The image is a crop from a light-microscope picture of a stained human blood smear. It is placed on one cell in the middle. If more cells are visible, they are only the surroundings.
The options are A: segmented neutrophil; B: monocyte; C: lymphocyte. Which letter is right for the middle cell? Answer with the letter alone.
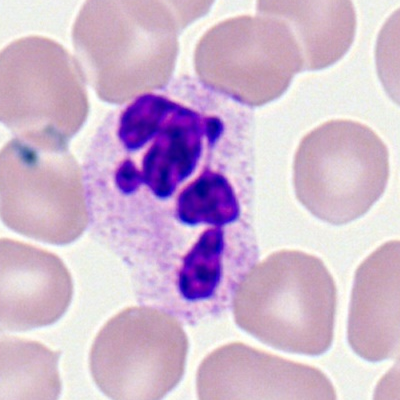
A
